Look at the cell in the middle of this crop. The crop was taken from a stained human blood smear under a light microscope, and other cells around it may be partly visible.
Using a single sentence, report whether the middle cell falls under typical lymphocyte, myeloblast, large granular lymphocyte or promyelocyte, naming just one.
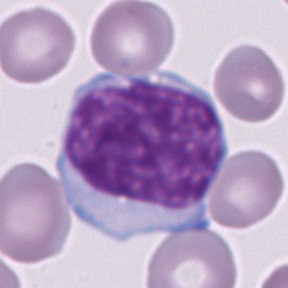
Seen at the centre of the crop is a myeloblast.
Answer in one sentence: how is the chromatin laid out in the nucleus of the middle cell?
Here the nuclear chromatin is coarsely clumped.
